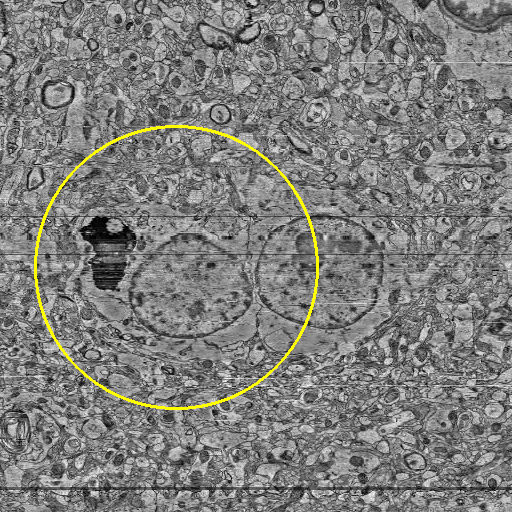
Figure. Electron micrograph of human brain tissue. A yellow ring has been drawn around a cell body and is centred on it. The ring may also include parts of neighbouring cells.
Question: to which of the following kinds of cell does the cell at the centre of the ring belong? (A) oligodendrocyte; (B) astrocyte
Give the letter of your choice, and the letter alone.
B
